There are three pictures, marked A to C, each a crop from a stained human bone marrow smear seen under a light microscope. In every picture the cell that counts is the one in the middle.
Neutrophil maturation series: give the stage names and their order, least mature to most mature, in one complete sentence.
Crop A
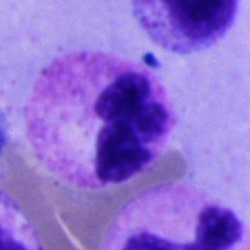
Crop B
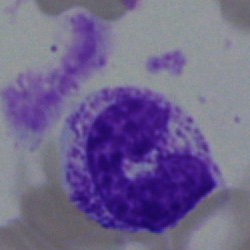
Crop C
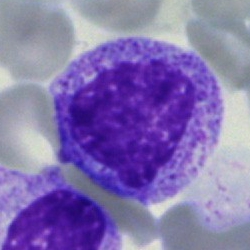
In ascending order of maturity, the cells are crop C (a myelocyte), crop B (a band neutrophil) and crop A (a segmented neutrophil).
